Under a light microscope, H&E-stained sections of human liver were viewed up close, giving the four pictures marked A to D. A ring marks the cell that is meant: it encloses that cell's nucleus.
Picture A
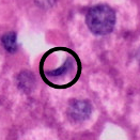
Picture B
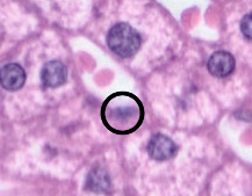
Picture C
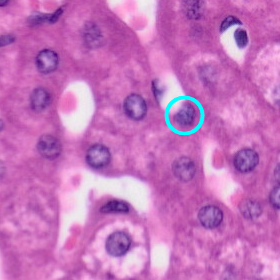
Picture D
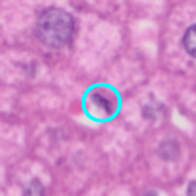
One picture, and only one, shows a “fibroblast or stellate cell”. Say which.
C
